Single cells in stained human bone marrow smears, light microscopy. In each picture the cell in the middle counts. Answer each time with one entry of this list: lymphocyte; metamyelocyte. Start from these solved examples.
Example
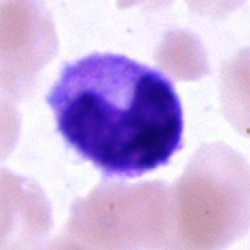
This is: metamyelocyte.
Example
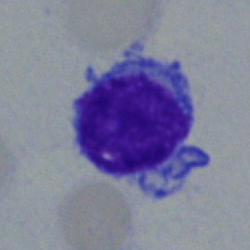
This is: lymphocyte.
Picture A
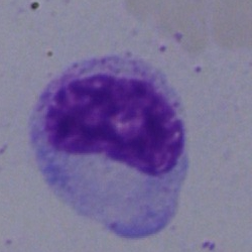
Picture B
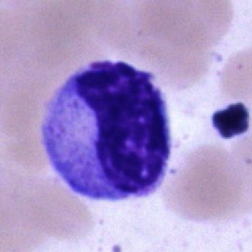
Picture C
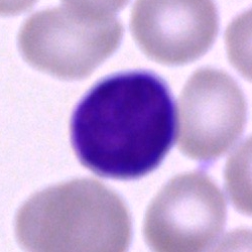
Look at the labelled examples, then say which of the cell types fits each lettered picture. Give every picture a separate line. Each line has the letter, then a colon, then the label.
A: metamyelocyte.
B: metamyelocyte.
C: lymphocyte.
